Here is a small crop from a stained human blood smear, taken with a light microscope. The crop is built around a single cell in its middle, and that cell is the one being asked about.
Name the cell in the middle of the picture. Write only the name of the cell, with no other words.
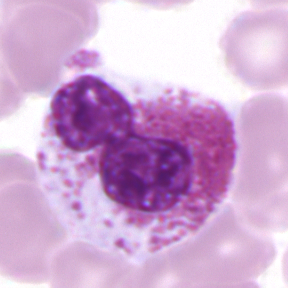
eosinophil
